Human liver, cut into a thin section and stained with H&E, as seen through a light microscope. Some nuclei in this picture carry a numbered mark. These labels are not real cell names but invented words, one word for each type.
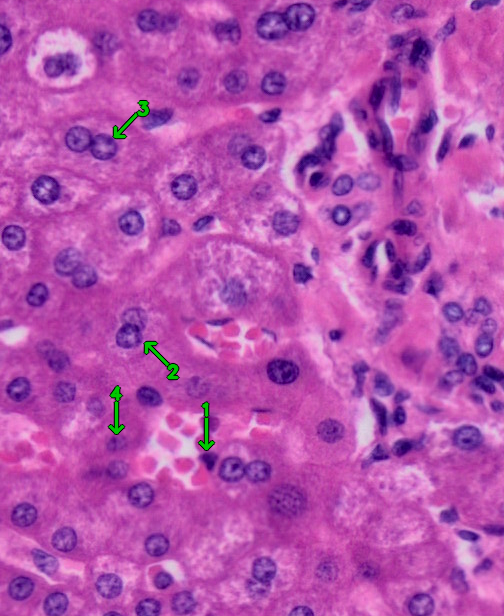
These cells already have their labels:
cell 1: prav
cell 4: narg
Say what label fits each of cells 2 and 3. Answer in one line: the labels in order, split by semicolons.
narg; narg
